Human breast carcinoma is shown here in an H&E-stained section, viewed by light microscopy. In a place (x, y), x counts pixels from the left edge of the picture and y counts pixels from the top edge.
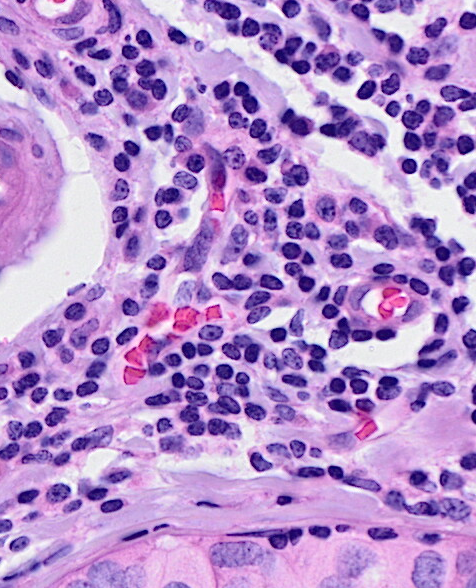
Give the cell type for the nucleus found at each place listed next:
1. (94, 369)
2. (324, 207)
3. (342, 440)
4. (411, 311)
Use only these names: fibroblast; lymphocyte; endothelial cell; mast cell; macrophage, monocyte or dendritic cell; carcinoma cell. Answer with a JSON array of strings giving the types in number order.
["lymphocyte", "mast cell", "endothelial cell", "endothelial cell"]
